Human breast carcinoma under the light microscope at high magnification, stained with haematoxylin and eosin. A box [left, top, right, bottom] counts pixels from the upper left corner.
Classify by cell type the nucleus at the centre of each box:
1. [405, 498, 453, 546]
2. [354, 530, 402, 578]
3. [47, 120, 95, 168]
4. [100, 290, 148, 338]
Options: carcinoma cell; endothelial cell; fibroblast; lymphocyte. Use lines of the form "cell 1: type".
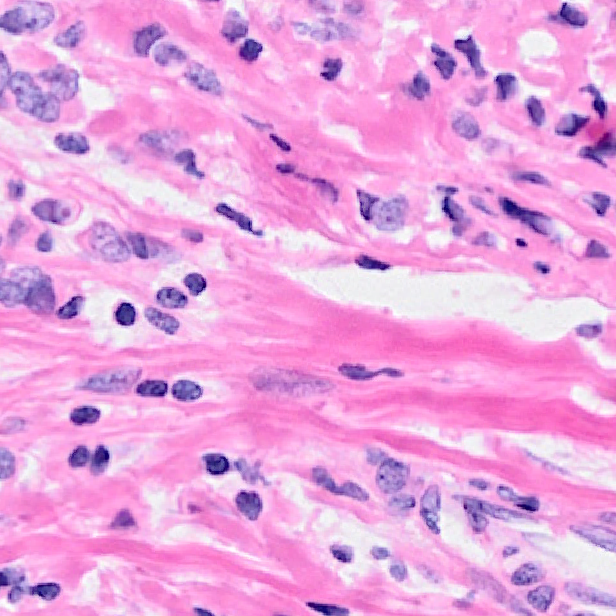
cell 1: endothelial cell
cell 2: lymphocyte
cell 3: lymphocyte
cell 4: lymphocyte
